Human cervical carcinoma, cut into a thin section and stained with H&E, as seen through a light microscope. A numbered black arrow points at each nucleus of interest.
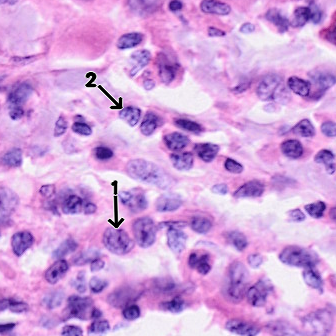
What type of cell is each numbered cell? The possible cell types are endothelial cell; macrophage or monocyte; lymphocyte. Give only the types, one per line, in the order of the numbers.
macrophage or monocyte
lymphocyte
